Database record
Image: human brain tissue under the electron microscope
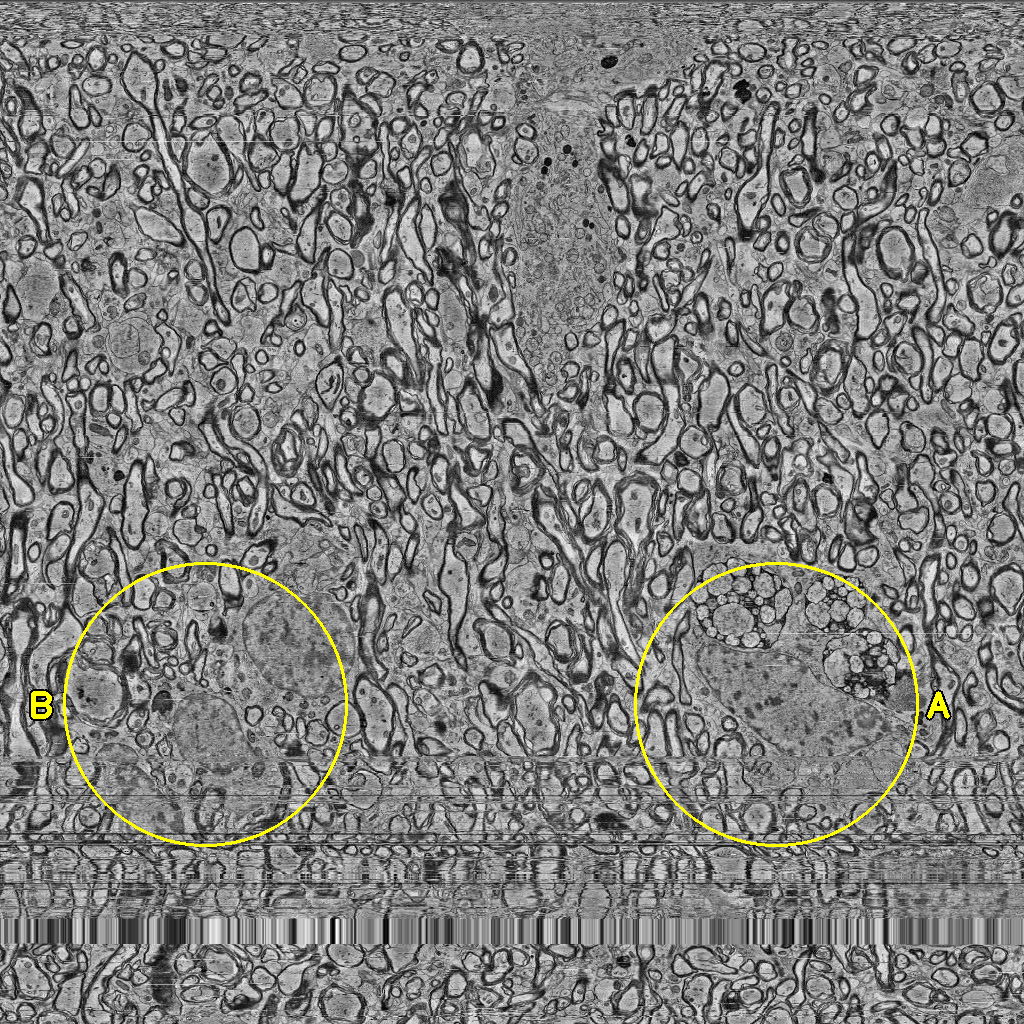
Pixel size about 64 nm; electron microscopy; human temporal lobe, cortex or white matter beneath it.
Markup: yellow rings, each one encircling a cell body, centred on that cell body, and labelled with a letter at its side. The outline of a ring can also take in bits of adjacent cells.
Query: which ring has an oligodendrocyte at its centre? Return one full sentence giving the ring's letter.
In this image, that kind of cell lies at the centre of the ring labelled B.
